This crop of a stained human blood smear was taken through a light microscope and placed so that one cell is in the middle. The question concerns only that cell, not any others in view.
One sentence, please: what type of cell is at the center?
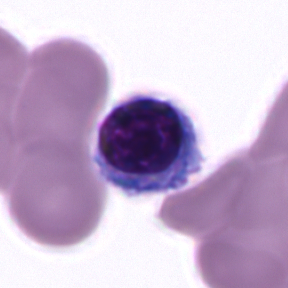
In short, the cell at the center is a plasma cell.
